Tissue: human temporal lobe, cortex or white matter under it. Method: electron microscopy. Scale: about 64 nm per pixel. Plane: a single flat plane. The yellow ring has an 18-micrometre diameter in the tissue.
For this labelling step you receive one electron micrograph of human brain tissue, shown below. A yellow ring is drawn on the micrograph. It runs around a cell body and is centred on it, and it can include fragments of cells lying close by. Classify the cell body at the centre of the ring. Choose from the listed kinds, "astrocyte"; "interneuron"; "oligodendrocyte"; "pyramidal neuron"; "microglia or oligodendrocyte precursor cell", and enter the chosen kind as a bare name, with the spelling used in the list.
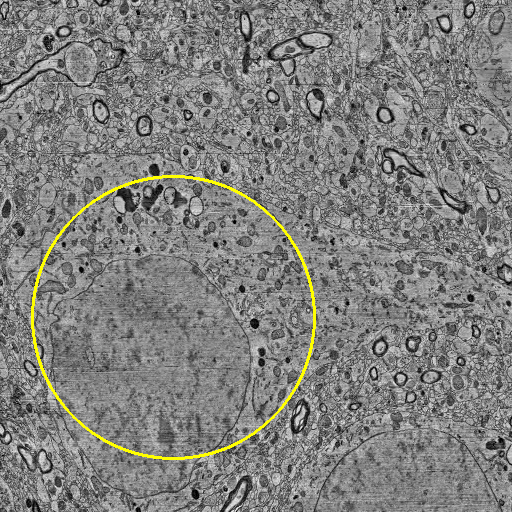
pyramidal neuron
